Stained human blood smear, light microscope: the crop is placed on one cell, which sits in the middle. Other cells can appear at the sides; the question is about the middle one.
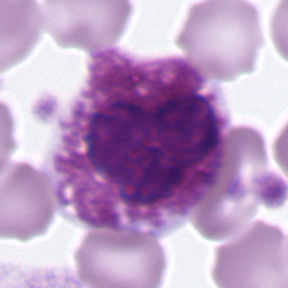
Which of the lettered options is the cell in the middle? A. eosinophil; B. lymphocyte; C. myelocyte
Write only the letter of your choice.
A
